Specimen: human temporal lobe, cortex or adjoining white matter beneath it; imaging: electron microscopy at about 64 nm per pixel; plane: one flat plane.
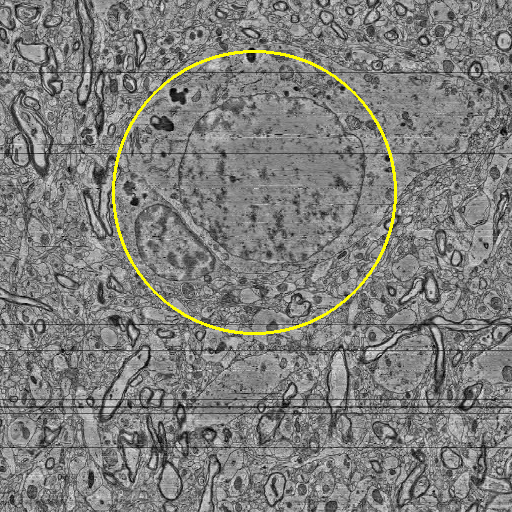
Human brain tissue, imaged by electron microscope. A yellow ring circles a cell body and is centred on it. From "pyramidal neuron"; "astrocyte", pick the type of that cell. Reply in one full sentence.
The cell body at the centre of the yellow ring belongs to a pyramidal neuron.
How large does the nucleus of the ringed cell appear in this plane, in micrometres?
About 12 micrometers across, in this plane.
